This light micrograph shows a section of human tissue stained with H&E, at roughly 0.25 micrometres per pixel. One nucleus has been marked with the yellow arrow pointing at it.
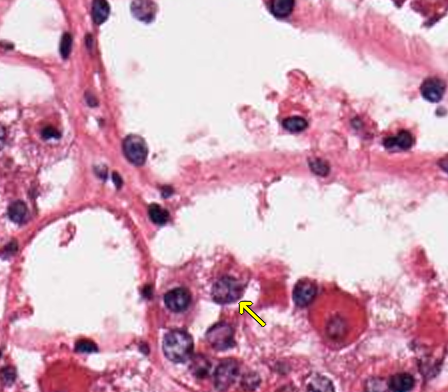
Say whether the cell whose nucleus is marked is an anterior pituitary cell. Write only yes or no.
yes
